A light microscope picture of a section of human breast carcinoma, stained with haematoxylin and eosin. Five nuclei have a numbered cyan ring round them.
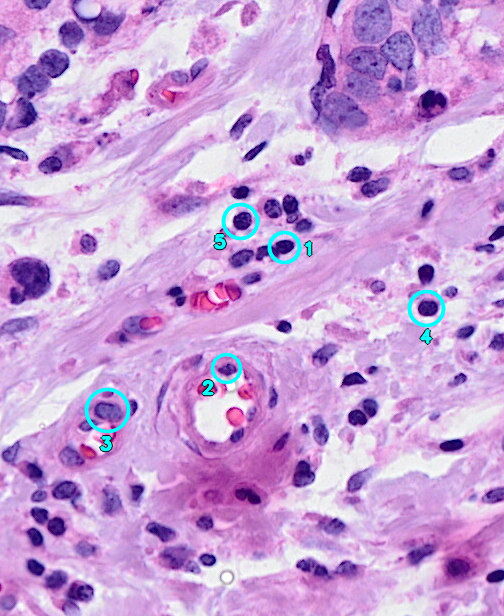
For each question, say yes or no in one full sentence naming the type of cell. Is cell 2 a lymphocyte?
No, cell number 2 is an endothelial cell; it is not a lymphocyte.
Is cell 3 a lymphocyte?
No, the cell with number 3 is not a lymphocyte but an endothelial cell.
